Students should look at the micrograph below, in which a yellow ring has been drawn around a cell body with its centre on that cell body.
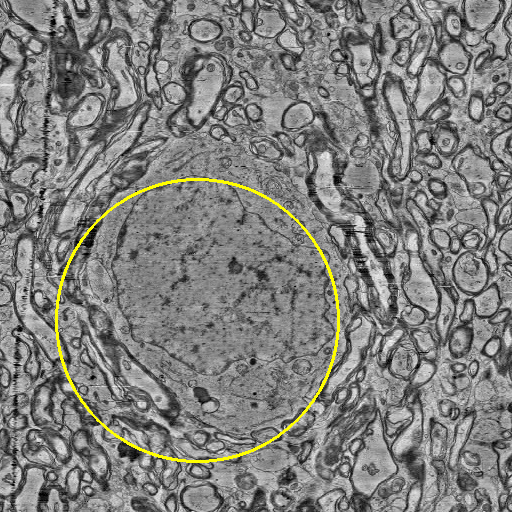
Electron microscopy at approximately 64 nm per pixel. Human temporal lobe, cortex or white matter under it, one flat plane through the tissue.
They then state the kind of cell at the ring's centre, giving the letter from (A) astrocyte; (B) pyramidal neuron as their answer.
B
